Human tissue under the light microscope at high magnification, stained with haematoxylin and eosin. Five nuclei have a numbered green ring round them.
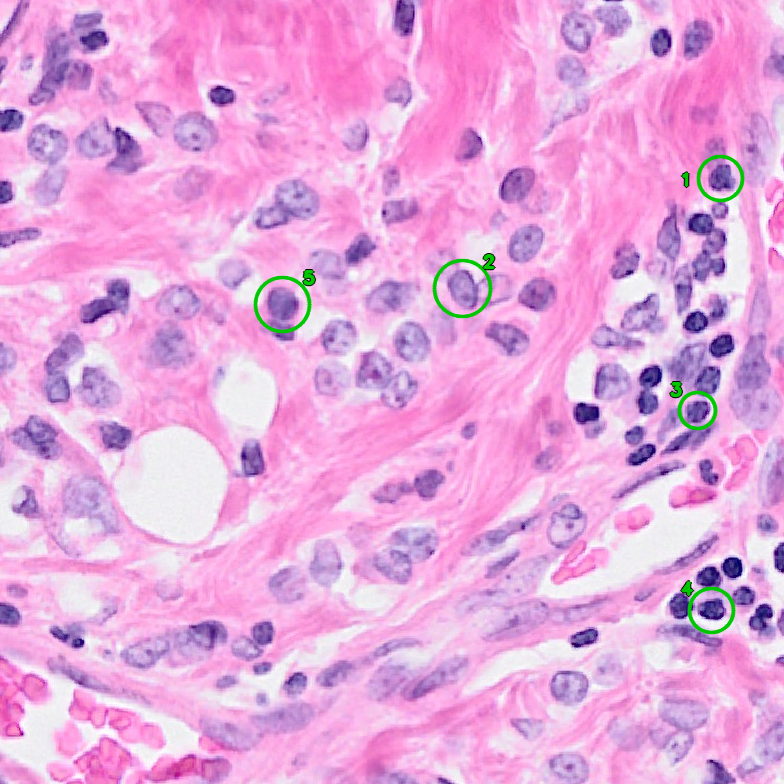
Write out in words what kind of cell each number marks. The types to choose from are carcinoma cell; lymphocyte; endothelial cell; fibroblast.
Cell 1 is a lymphocyte, cell 2 is a carcinoma cell, cell 3 is a lymphocyte, cell 4 is a lymphocyte and cell 5 is a carcinoma cell.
